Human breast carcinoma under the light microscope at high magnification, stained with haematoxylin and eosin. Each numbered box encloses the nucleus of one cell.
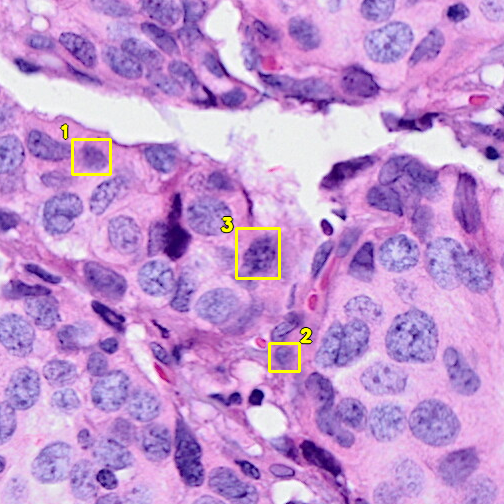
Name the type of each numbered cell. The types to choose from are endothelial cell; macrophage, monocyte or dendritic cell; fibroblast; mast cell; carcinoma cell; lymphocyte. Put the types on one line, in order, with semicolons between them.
carcinoma cell; endothelial cell; carcinoma cell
